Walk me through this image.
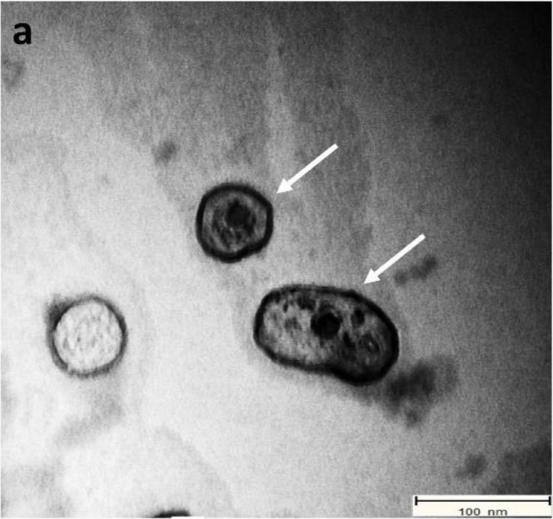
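This transmission electron micrograph shows isolated extracellular vesicles, small membrane-bound particles rather than whole cells. One vesicle is elongated and oval. Another is paler with a finely granular interior. The rest have mottled, darker contents. Small dark aggregates lie scattered in the grey background around them.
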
